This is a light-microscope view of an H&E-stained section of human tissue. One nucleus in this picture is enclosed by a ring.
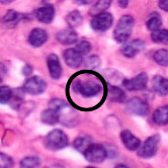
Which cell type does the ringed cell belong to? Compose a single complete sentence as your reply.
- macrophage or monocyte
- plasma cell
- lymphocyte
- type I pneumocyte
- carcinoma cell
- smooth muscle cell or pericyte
Just put down that the ringed cell is a lymphocyte.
